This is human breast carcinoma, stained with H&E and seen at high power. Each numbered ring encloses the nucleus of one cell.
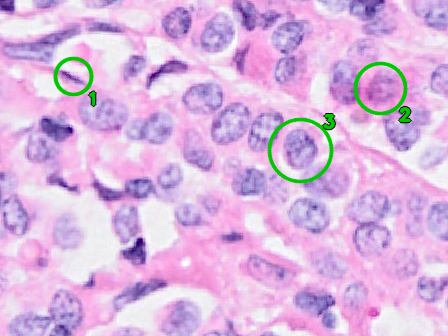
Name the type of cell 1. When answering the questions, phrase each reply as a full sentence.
The cell pointed out by number 1 is an endothelial cell.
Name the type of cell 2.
The cell that goes by number 2 is a carcinoma cell.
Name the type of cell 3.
Classified as a carcinoma cell is the cell with the number 3.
